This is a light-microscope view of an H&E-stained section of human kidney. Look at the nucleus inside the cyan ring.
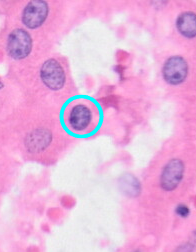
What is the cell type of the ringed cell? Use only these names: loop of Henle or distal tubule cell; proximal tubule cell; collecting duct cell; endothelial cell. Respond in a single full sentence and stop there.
Considered by cell type, the ringed cell is a proximal tubule cell.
